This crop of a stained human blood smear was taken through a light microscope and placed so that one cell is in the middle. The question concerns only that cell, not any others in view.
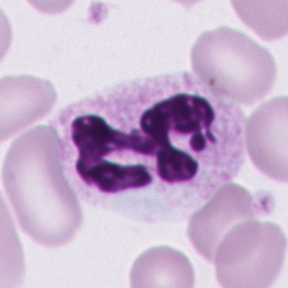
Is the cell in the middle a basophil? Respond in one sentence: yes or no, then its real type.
No, this cell in the middle is a neutrophil, so it is not a basophil.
